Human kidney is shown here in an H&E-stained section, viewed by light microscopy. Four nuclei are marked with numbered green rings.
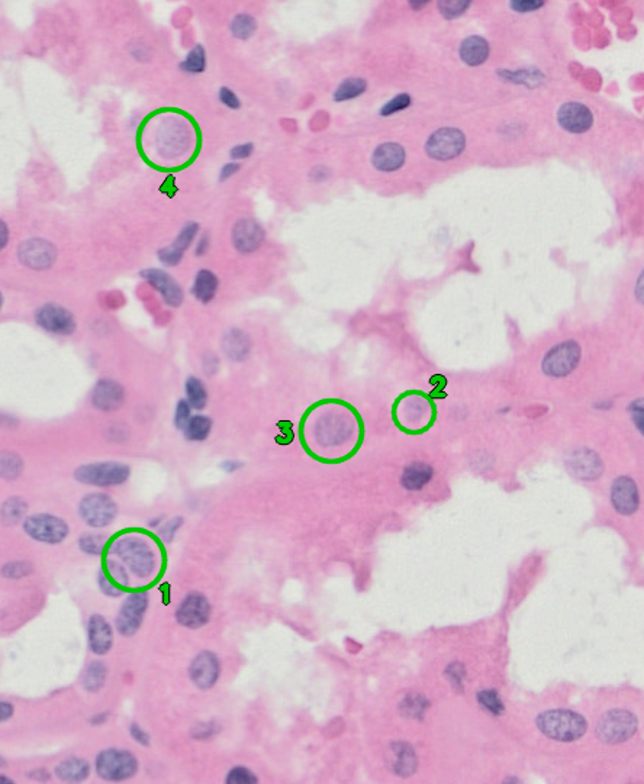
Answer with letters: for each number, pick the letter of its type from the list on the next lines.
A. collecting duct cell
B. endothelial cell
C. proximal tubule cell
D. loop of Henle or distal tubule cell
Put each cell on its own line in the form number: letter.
1: A
2: C
3: C
4: C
